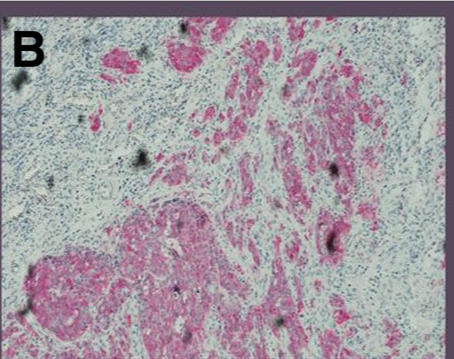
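The field shows nests, islands and irregular cords of closely packed cells set in a paler fibrous stroma. The nests vary in size, from a few large rounded islands in the lower left to many small angular clusters elsewhere. A few dark specks of pigment or debris lie scattered over the section.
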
